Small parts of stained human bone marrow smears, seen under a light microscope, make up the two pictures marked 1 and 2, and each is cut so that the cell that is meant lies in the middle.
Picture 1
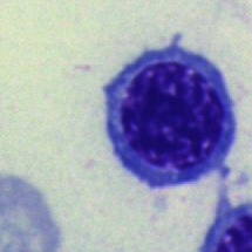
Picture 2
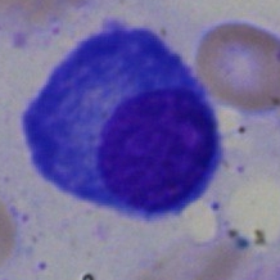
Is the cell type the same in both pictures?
no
